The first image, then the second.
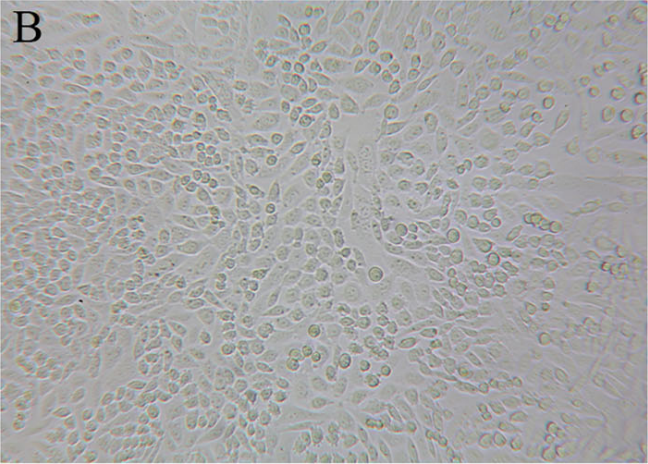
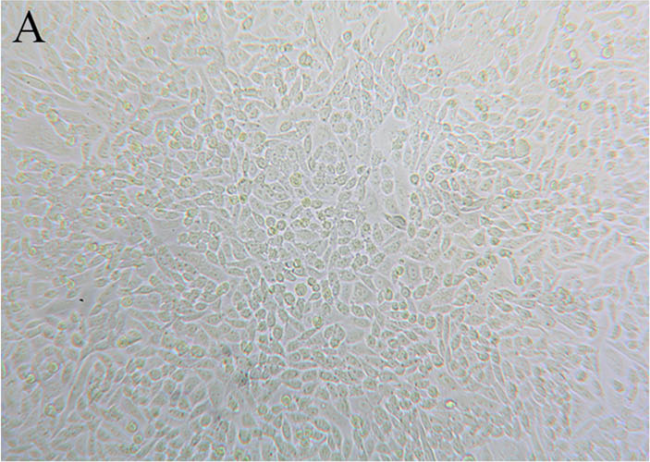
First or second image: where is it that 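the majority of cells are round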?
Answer: The first image.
